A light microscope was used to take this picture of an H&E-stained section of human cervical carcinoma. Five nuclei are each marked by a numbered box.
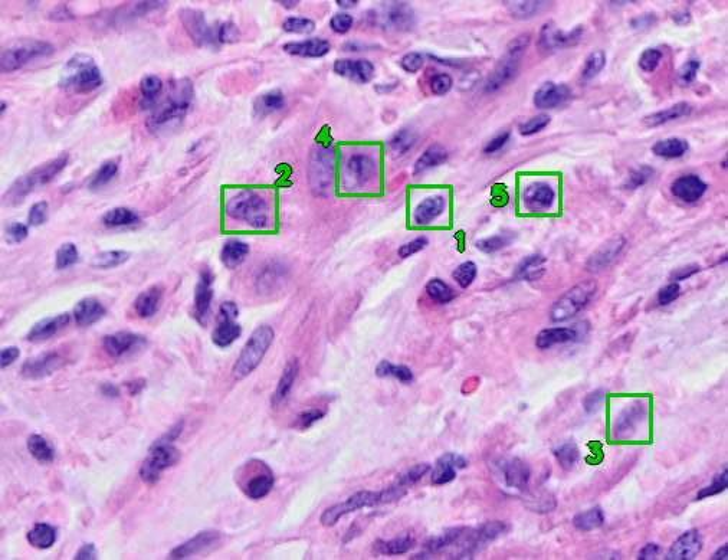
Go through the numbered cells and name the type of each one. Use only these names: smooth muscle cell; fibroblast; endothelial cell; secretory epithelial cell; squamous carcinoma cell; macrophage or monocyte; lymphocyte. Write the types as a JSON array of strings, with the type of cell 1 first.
["lymphocyte", "macrophage or monocyte", "fibroblast", "endothelial cell", "lymphocyte"]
